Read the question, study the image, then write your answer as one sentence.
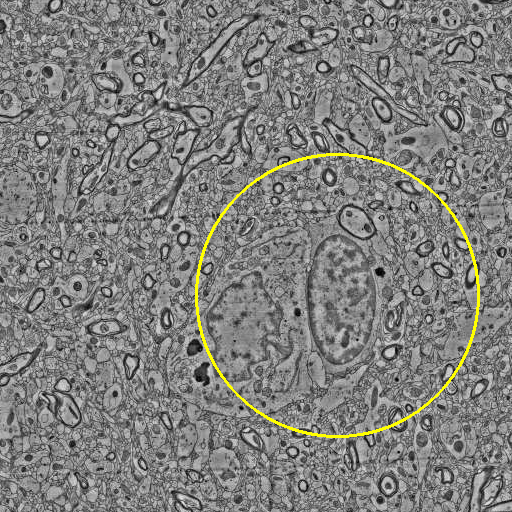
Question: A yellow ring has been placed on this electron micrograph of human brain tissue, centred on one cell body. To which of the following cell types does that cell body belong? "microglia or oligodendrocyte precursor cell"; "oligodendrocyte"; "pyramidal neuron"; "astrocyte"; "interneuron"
That cell body belongs to an oligodendrocyte.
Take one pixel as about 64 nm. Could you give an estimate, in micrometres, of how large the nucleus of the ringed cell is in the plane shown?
Approximately 8 by 4 micrometers, which makes the nucleus clearly longer than it is wide in this plane.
